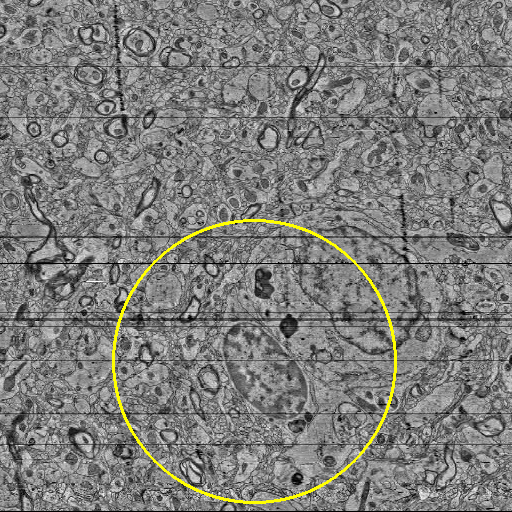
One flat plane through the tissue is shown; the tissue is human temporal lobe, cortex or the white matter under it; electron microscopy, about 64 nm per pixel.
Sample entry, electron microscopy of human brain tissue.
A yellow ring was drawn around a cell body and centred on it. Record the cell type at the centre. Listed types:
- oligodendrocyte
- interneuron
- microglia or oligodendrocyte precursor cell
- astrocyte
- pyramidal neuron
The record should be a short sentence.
The cell at the ring's centre is a microglial cell or oligodendrocyte precursor cell.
